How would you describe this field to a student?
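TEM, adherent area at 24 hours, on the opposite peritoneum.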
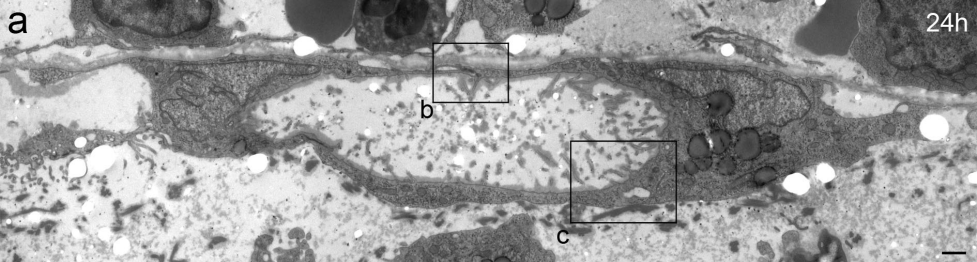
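A long, thin cell encloses a wide pale space, forming a sac-like profile that runs across the field. Two elongated nuclei sit in thicker parts of the cell at either end, and several dense round bodies lie in the cytoplasm near the right nucleus. The pale space inside is filled with many small round and rod-shaped profiles, which are microvilli cut in various planes.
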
